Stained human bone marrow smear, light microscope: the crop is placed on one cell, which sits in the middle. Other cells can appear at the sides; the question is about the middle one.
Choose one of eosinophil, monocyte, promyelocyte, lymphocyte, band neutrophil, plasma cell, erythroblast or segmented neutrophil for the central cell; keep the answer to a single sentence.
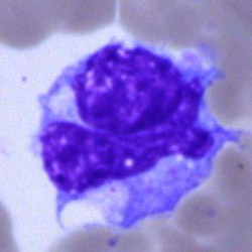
The cell sitting right in the middle is a monocyte.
